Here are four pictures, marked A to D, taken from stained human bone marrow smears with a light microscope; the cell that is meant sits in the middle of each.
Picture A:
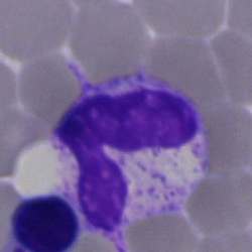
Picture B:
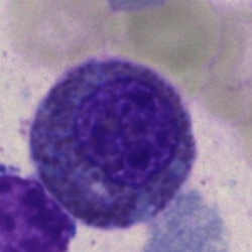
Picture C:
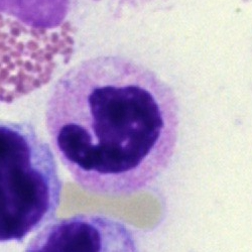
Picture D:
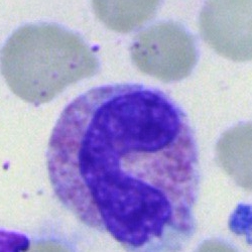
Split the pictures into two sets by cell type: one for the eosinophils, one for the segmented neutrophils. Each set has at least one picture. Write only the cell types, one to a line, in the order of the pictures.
segmented neutrophil
eosinophil
segmented neutrophil
eosinophil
